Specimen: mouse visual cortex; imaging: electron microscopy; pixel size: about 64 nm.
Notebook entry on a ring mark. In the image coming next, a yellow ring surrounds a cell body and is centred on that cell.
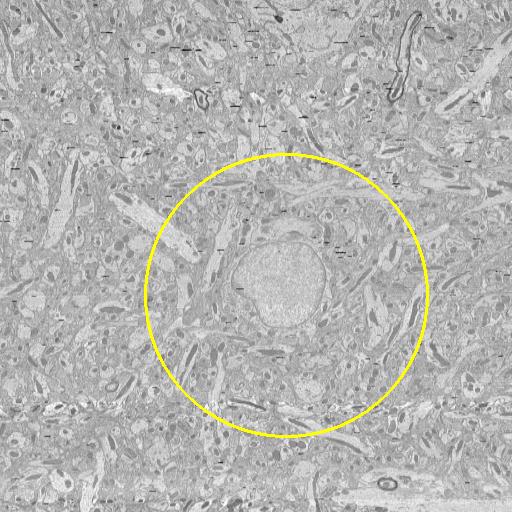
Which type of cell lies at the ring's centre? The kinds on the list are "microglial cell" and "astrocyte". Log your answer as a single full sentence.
Centred in the yellow ring is an astrocyte, the cell recorded for this image.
